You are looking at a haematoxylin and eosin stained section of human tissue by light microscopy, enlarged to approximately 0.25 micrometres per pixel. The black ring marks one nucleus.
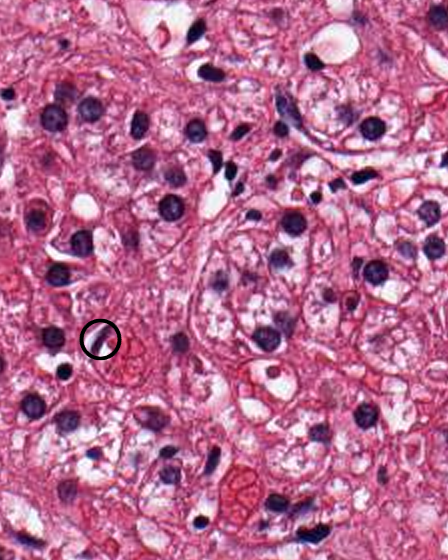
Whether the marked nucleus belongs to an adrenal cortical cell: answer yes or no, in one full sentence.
No, it is not an adrenal cortical cell but a supporting cell to which the marked nucleus is assigned.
